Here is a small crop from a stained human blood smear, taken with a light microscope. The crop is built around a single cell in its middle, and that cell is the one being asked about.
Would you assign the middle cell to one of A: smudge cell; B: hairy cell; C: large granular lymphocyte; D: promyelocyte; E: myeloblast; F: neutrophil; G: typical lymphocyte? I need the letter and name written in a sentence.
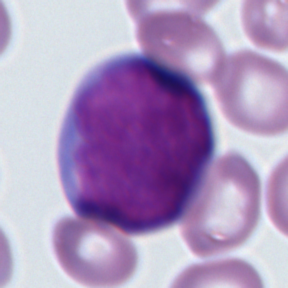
The centrally positioned cell is a myeloblast, consistent with option E, which is correct.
